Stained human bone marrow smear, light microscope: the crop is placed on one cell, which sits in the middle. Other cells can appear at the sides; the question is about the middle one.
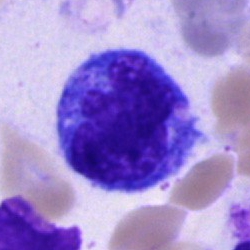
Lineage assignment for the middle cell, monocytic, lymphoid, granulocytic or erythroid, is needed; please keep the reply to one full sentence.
The cell at the center of the crop derives from the monocytic lineage.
